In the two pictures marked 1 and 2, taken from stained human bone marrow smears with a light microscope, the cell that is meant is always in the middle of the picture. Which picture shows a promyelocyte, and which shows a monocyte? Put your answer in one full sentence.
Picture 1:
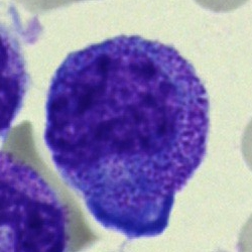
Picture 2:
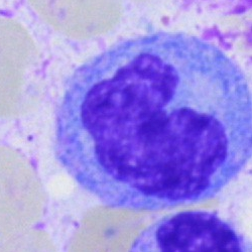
Picture 2 shows a monocyte, while picture 1 shows a promyelocyte.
